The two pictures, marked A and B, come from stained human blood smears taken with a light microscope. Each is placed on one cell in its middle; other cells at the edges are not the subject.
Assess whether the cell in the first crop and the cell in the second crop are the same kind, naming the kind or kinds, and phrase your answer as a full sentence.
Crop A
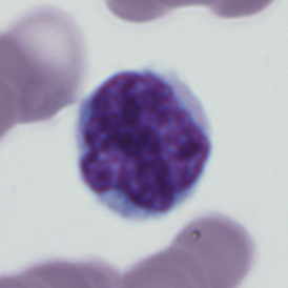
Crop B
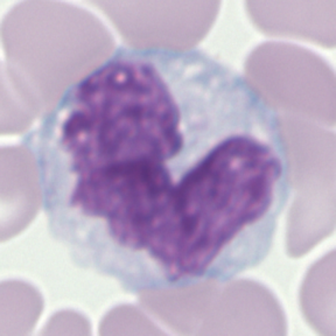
Yes, the cells that both crops show at the centre are monocytes.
